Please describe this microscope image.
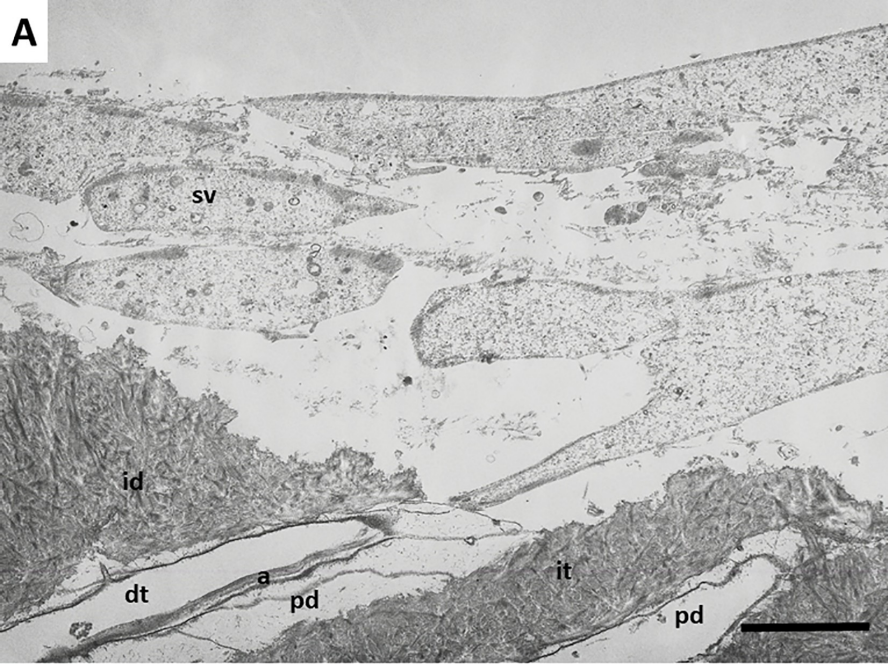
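The upper half holds several flattened, elongated cells with pale, finely granular cytoplasm and oval rounded profiles containing small vesicles. One cell sends a long, tapering cellular process downward toward the dentin. The lower part is filled with dense, fibrillar matrix of dentin, interrupted by pale elongated channels, the dentin tubules. Thin dark filament bundles run along the edges of the tubules.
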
